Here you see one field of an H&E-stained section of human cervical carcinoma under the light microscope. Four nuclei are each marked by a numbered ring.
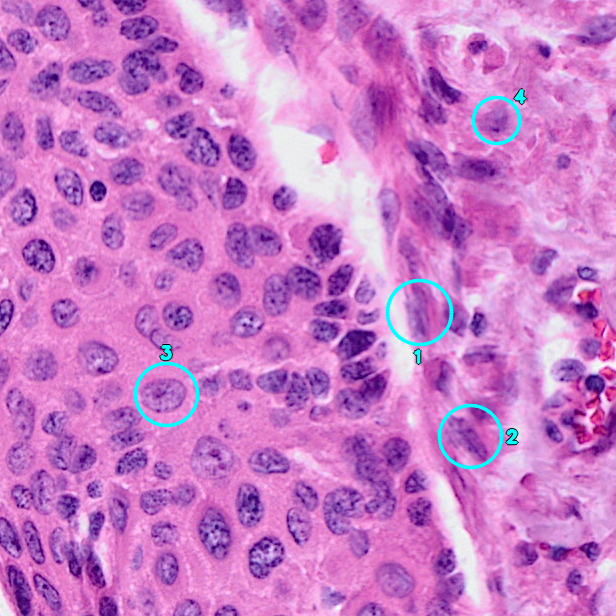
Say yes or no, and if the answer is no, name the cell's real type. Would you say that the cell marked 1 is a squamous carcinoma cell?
No, it is a fibroblast.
